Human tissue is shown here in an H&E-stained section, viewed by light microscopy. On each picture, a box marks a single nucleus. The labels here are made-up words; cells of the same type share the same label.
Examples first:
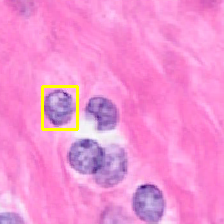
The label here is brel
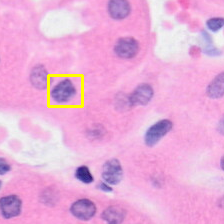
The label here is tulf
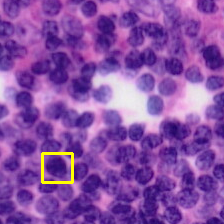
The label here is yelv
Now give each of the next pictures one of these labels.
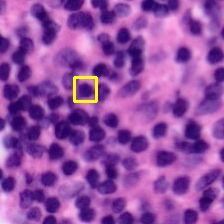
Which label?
yelv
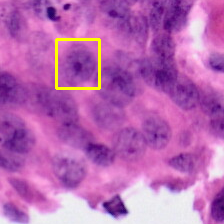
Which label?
brel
